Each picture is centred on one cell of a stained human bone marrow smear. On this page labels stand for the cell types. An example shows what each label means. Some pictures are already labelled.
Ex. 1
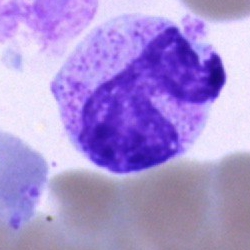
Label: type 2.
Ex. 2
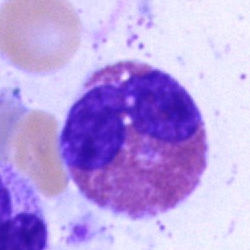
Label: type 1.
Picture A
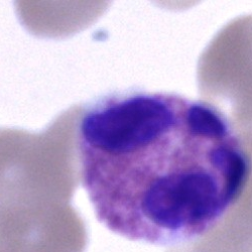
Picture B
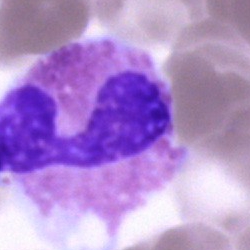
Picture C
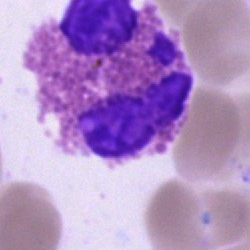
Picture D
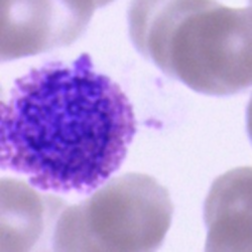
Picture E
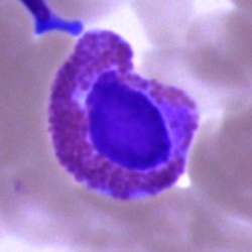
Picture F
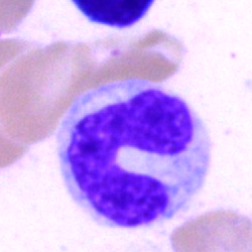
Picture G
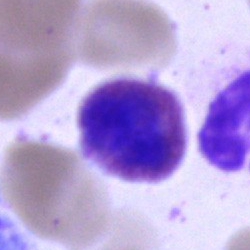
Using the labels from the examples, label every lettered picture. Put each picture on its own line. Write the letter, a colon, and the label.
A: type 1.
B: type 1.
C: type 1.
D: type 1.
E: type 1.
F: type 2.
G: type 1.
